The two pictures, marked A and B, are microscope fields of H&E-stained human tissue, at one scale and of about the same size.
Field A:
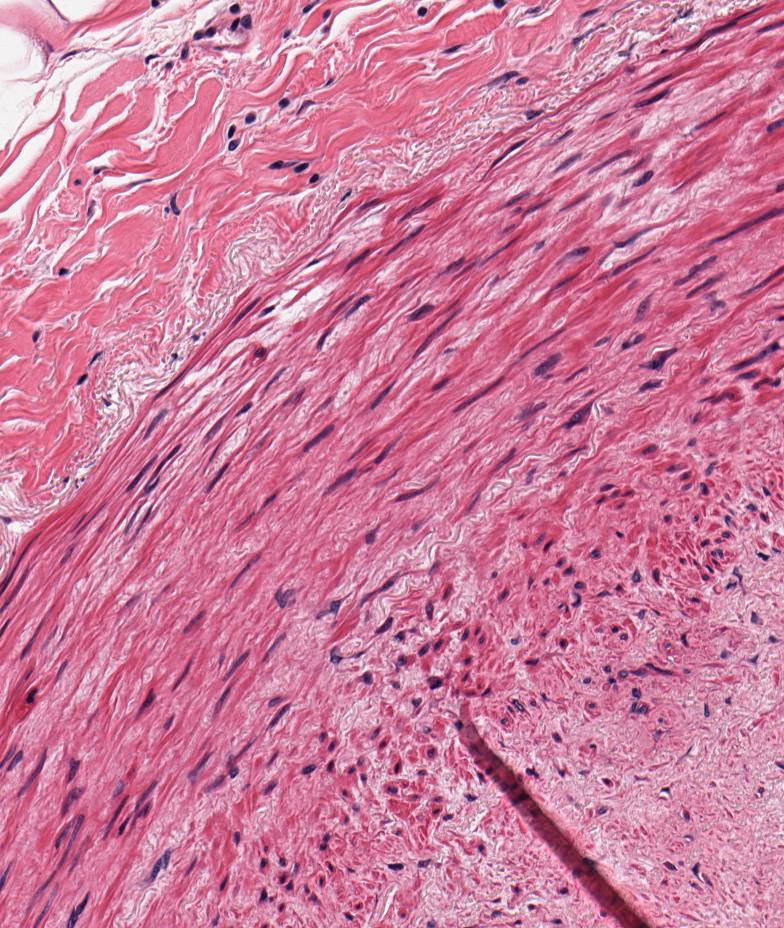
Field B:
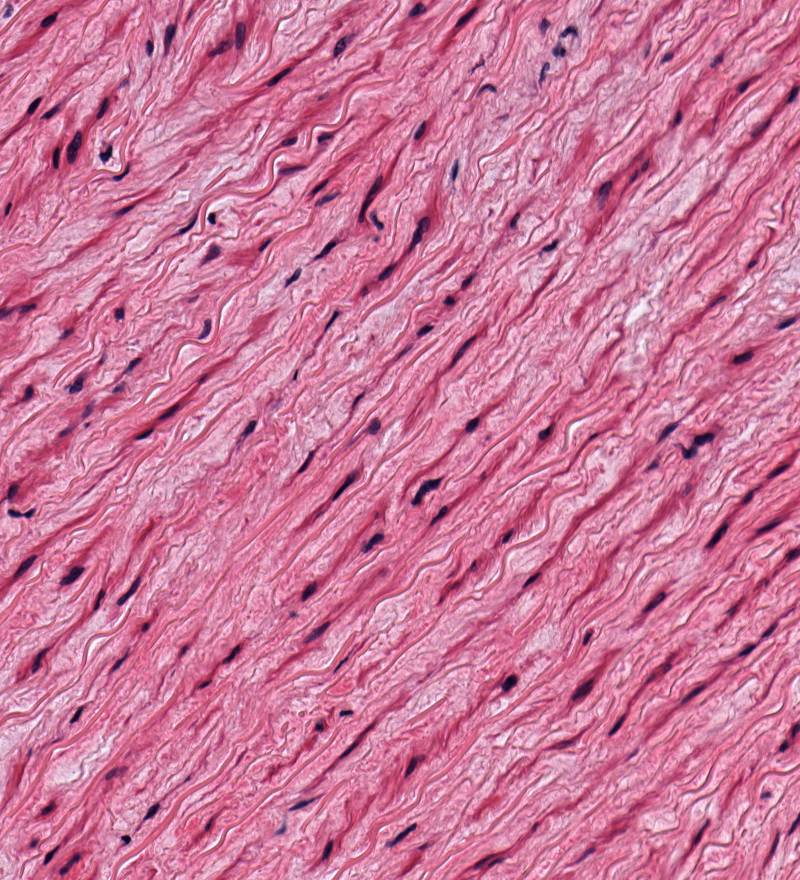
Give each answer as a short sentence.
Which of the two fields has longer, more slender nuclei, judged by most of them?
It is field B whose nuclei are the more elongated.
